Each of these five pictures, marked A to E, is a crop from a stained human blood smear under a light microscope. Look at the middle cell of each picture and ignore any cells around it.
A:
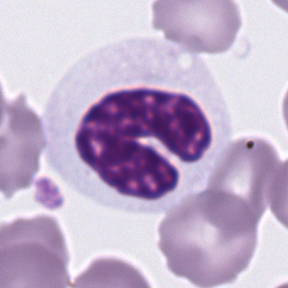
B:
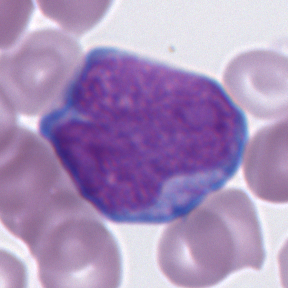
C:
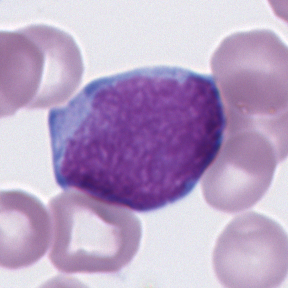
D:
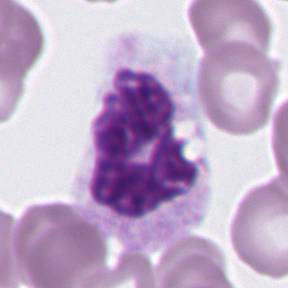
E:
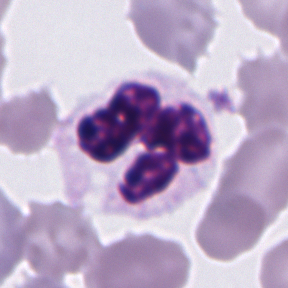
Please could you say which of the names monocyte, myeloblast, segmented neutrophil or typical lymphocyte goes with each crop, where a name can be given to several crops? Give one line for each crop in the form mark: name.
A: segmented neutrophil
B: myeloblast
C: myeloblast
D: segmented neutrophil
E: segmented neutrophil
